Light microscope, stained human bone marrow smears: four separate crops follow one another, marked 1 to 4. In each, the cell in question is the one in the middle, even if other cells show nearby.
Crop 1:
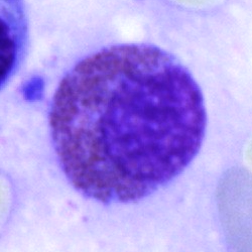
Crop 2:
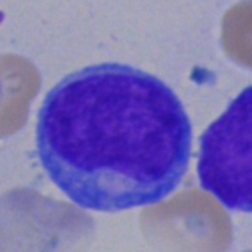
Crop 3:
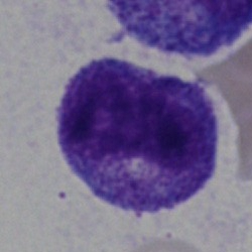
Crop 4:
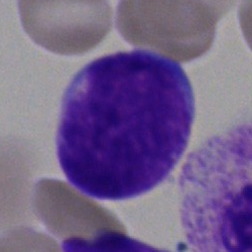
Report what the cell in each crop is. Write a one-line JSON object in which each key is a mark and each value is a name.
{"1": "eosinophil", "2": "blast", "3": "promyelocyte", "4": "blast"}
